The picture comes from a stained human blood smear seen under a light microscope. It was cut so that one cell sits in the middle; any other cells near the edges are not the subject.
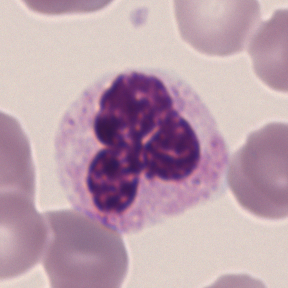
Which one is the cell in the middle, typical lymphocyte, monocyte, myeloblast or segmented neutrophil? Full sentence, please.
The central element of this crop is a cell, namely a segmented neutrophil.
